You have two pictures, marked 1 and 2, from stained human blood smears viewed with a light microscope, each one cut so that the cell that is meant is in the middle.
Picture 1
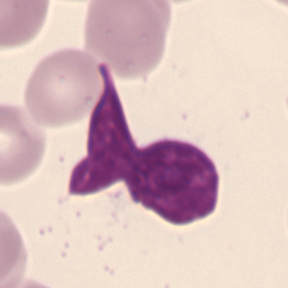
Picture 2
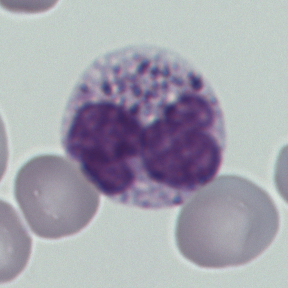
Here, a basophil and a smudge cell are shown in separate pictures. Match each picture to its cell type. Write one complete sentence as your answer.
Picture 2 shows a basophil, while picture 1 shows a smudge cell.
